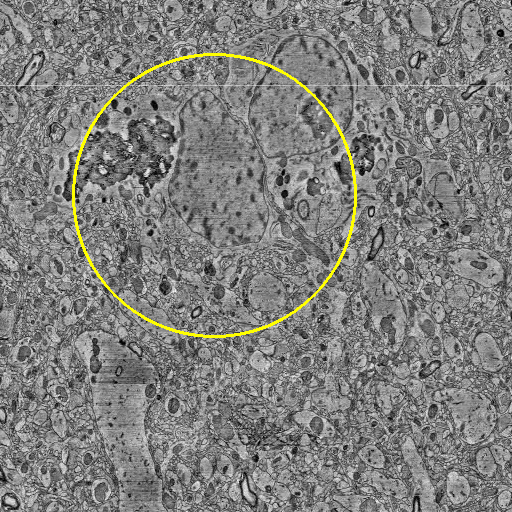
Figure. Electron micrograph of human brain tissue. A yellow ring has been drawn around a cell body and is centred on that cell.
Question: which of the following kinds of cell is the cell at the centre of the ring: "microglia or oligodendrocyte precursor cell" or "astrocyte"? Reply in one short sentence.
The cell at the centre of the ring is an astrocyte.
